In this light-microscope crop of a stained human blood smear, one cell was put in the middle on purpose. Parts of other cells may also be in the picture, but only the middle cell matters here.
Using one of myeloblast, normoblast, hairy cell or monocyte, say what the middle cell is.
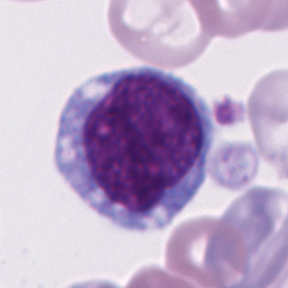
monocyte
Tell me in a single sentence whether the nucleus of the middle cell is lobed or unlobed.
A single compact nucleus is present, shaped round, oval or like a kidney.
